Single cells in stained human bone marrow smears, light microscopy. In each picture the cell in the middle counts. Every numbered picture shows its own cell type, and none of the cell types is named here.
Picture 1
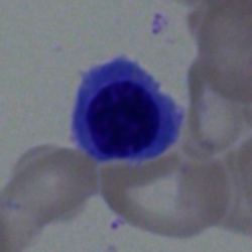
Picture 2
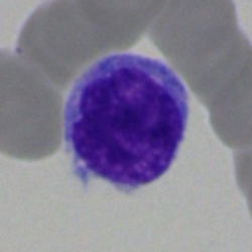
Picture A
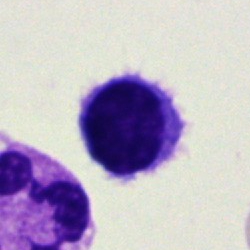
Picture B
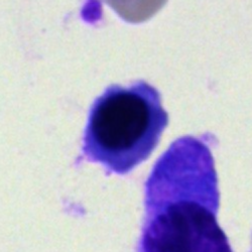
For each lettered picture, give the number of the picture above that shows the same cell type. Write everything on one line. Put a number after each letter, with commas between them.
A 2, B 1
